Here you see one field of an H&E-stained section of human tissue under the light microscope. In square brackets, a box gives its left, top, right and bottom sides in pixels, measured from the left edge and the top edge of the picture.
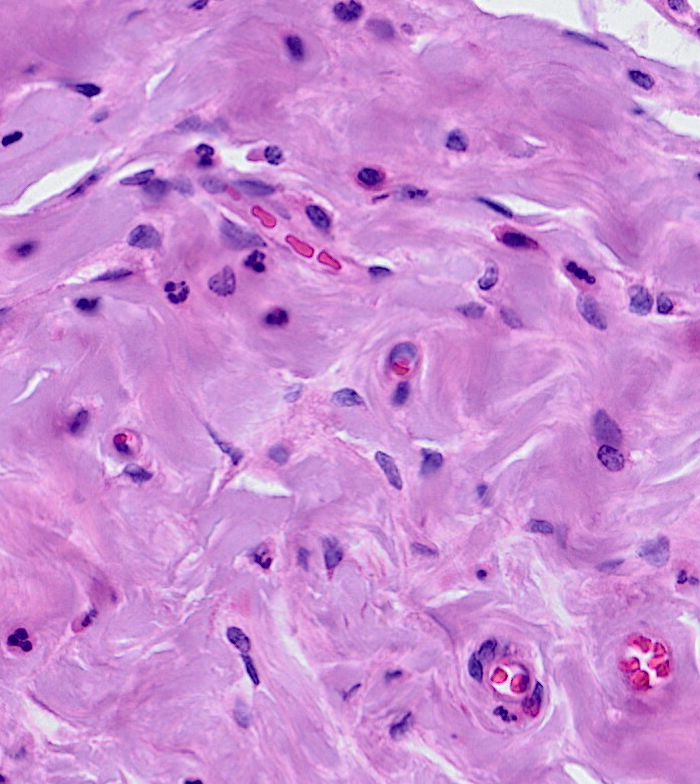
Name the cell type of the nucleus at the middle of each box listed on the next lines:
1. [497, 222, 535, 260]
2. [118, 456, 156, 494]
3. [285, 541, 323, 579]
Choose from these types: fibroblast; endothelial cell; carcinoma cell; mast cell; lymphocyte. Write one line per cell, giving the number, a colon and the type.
1: mast cell
2: fibroblast
3: fibroblast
